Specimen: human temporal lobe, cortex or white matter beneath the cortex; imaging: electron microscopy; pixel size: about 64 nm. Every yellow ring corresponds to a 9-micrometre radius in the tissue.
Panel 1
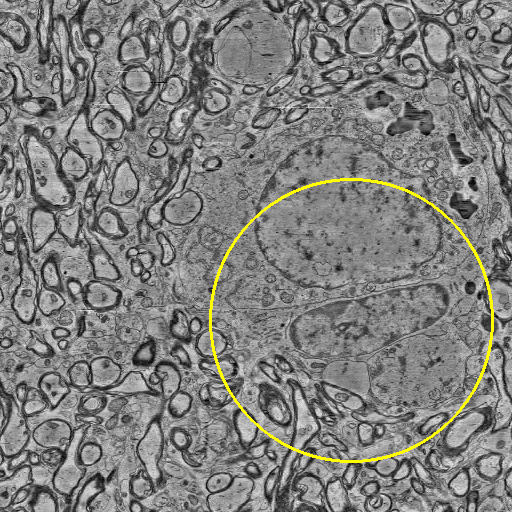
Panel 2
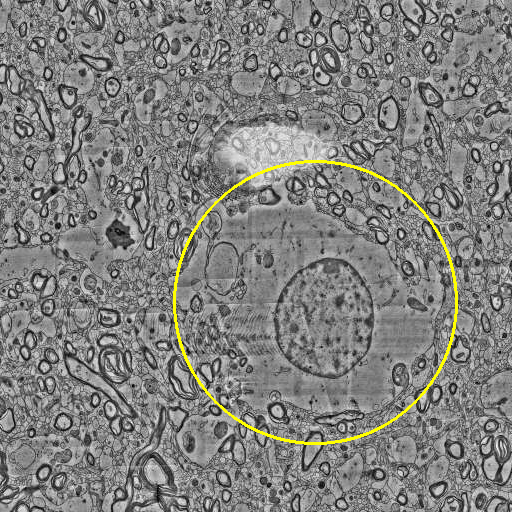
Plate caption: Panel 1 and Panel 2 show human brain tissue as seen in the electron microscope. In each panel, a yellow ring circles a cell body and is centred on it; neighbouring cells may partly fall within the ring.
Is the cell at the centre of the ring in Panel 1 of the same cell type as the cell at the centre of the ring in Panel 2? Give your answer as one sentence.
No, the two cells are of two types.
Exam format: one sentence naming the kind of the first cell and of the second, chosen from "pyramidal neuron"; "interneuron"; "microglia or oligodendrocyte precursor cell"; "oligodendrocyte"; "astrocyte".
The first picture's cell is a microglial cell or oligodendrocyte precursor cell, and the second picture's cell is an astrocyte.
